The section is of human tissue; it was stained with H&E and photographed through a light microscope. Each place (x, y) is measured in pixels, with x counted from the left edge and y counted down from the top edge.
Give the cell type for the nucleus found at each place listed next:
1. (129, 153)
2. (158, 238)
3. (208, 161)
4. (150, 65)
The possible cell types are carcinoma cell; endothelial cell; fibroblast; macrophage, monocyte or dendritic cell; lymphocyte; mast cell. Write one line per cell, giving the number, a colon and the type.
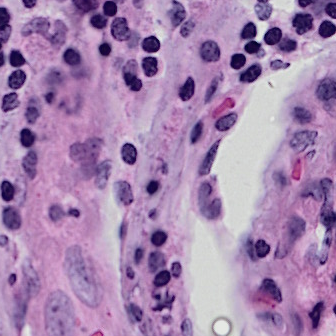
1: lymphocyte
2: lymphocyte
3: fibroblast
4: lymphocyte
